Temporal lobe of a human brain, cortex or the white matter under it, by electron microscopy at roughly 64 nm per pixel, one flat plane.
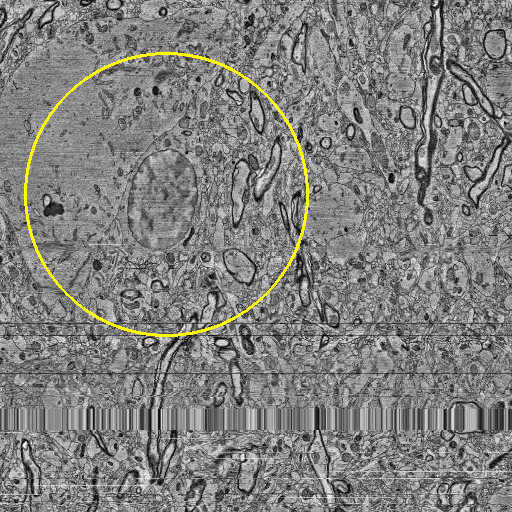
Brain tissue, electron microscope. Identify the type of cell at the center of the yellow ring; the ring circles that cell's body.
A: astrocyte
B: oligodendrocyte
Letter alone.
B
